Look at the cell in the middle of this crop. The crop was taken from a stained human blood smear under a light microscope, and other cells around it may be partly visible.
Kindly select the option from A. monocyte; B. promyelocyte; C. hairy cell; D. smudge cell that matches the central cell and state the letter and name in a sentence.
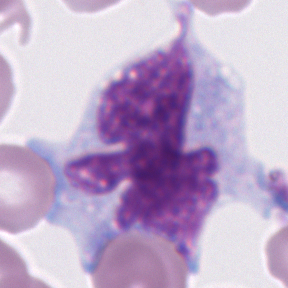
Since the middle cell is a monocyte, option A is the right one.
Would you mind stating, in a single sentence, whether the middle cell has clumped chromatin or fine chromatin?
Answer: the chromatin is fine and has no coarse clumps.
